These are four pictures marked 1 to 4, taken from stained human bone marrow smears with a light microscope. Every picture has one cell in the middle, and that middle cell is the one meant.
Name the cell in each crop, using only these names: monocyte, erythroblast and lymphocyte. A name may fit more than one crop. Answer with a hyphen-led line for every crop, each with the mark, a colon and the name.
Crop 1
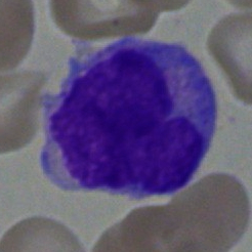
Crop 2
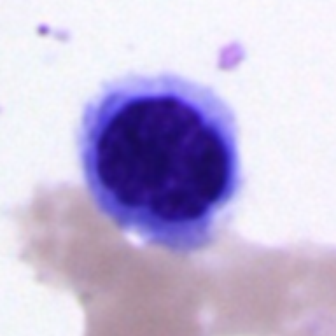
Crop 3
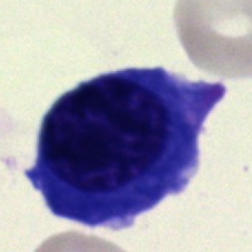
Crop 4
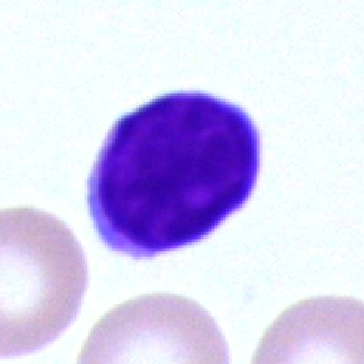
- 1: monocyte
- 2: erythroblast
- 3: erythroblast
- 4: lymphocyte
